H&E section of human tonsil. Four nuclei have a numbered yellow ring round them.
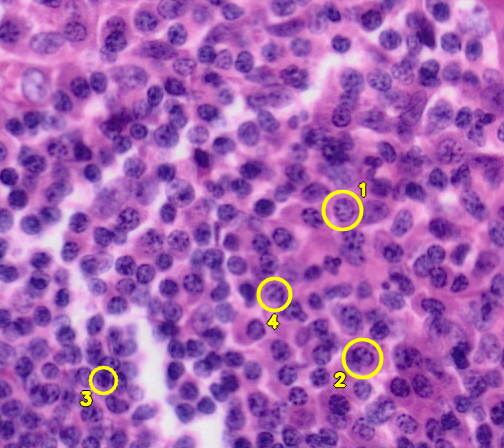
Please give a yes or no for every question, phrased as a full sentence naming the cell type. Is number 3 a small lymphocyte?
Yes, the cell corresponding to number 3 is a small lymphocyte.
